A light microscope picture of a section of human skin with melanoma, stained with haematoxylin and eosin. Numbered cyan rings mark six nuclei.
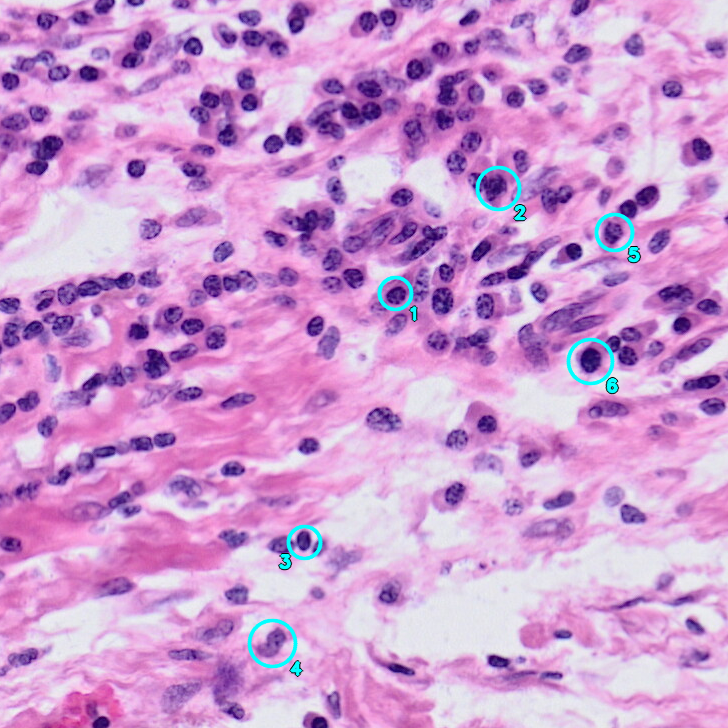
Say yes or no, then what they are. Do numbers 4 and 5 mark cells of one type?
No, cell 4 is a macrophage or monocyte and cell 5 is a plasma cell.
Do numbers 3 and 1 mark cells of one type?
No, cell 3 is a lymphocyte and cell 1 is a plasma cell.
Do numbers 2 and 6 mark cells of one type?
Yes, both are plasma cells.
